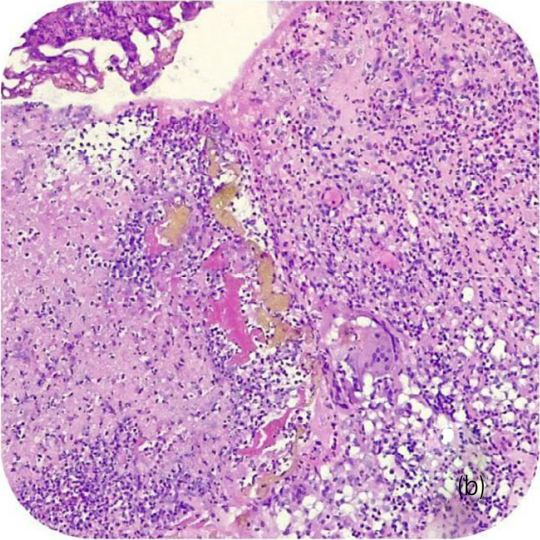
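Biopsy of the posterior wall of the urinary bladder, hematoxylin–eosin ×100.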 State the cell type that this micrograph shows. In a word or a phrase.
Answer: multinucleated giant cells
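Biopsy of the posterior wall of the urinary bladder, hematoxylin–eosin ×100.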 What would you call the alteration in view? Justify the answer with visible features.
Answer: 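Foci of necrosis. Pale pink amorphous areas with few intact nuclei. Scattered nuclear debris within these pale zones.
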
